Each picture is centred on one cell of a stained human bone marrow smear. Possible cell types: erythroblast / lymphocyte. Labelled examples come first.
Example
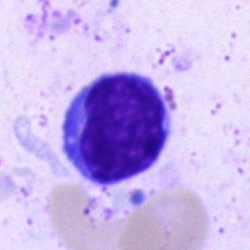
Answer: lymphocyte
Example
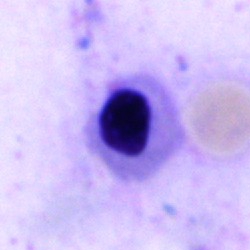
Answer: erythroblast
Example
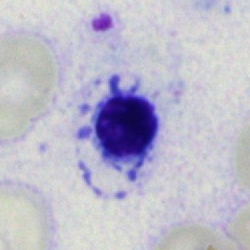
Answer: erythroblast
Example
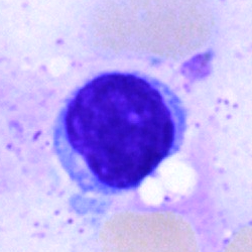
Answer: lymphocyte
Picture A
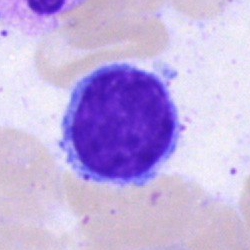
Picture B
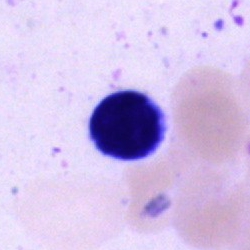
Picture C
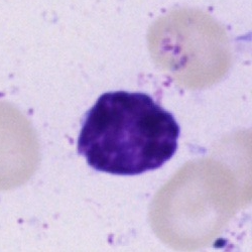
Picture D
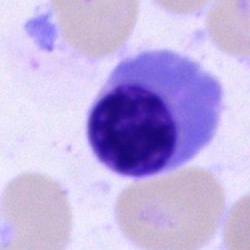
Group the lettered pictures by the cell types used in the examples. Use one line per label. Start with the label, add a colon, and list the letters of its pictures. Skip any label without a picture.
erythroblast: D
lymphocyte: A, B, C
